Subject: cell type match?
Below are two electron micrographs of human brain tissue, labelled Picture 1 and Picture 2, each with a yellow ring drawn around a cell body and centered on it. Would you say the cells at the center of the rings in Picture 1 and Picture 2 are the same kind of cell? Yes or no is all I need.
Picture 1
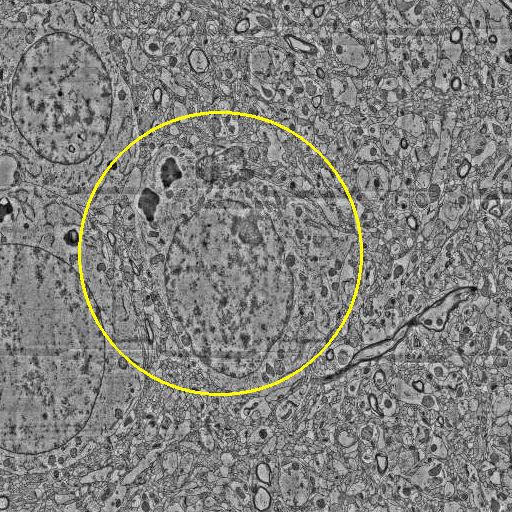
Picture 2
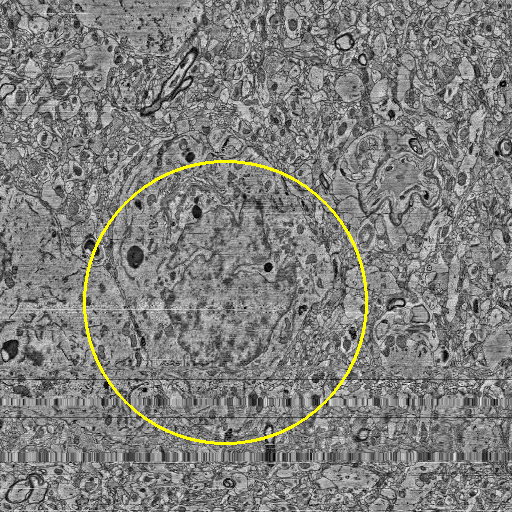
yes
